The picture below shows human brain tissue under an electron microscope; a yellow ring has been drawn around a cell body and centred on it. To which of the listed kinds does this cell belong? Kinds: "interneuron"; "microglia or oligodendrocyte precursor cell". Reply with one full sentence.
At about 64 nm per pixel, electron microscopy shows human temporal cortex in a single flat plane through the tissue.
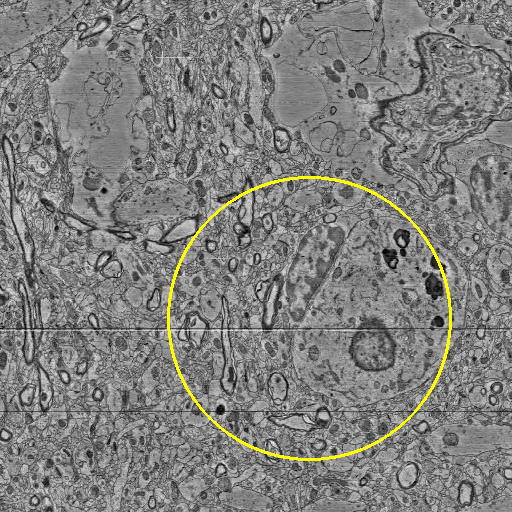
It is a microglial cell or oligodendrocyte precursor cell that the yellow ring in the picture is centred on.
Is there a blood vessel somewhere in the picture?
Yes, one appears.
